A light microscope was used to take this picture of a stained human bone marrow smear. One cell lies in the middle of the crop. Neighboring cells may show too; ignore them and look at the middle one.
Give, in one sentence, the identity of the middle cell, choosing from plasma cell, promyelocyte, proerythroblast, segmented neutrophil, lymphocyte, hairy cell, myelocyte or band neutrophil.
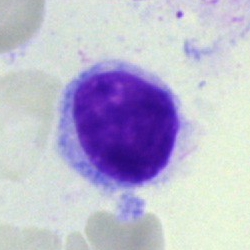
The cell occupying the middle of the crop is a hairy cell.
